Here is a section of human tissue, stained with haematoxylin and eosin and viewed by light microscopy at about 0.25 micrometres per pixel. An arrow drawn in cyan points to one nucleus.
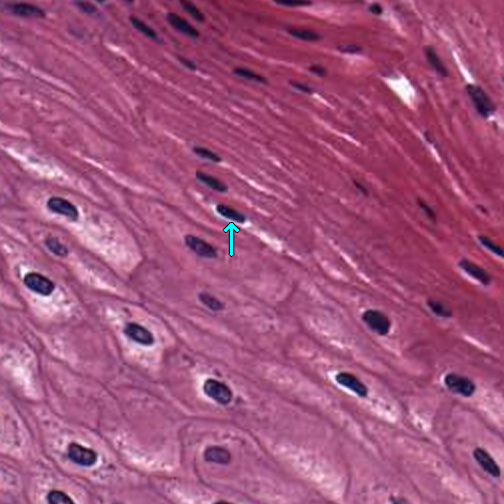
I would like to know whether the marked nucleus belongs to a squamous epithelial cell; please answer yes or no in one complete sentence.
Yes, the marked nucleus represents the nucleus of a squamous epithelial cell.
